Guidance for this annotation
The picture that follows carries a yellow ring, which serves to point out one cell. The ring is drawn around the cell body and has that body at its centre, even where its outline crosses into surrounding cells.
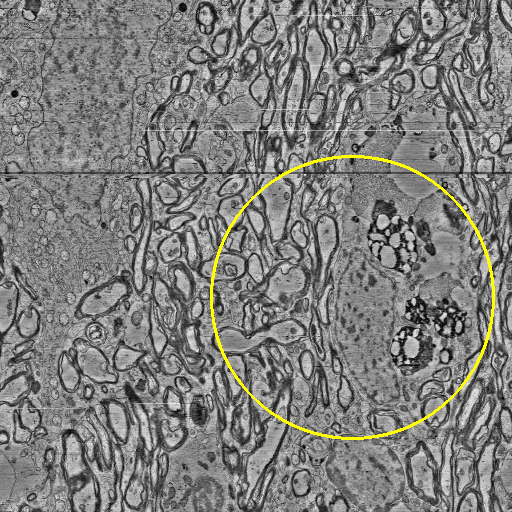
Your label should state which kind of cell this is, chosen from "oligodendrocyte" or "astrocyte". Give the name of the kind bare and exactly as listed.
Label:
astrocyte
